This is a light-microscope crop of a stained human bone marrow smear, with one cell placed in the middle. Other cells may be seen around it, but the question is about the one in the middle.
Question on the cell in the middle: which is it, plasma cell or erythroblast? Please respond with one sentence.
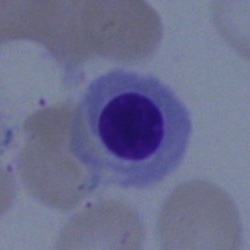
The cell nearest the centre of this crop is an erythroblast.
